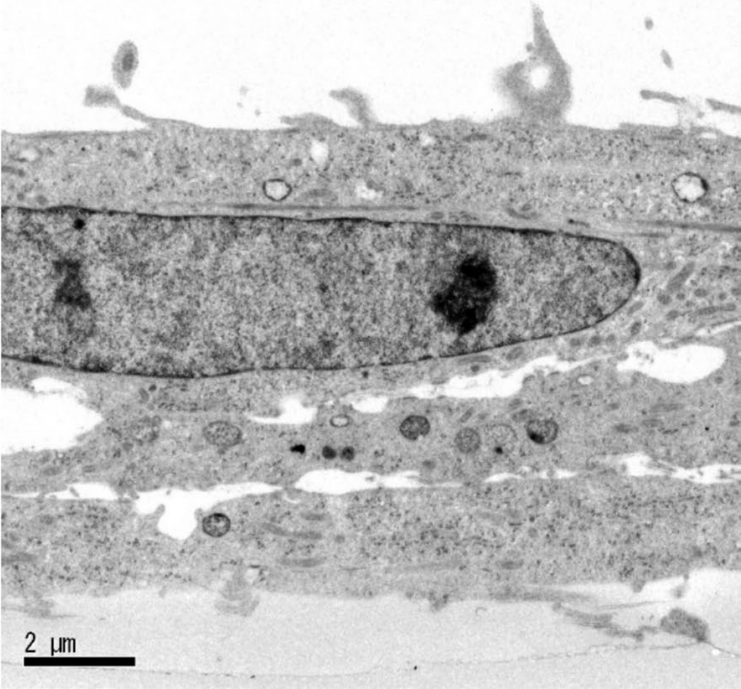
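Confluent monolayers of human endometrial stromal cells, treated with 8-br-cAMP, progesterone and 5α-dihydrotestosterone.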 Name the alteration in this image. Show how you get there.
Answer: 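Two or three cell layers. Several elongated cell profiles lie stacked one above another. Narrow pale clefts separate the stacked cells.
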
